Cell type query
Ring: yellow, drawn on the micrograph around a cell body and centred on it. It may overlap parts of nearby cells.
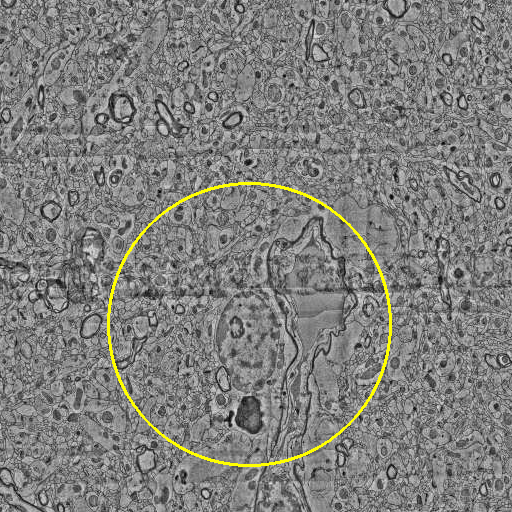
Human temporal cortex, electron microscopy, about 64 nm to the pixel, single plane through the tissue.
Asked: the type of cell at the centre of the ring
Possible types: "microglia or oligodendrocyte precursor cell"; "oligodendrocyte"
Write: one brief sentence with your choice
The ring marks an oligodendrocyte.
